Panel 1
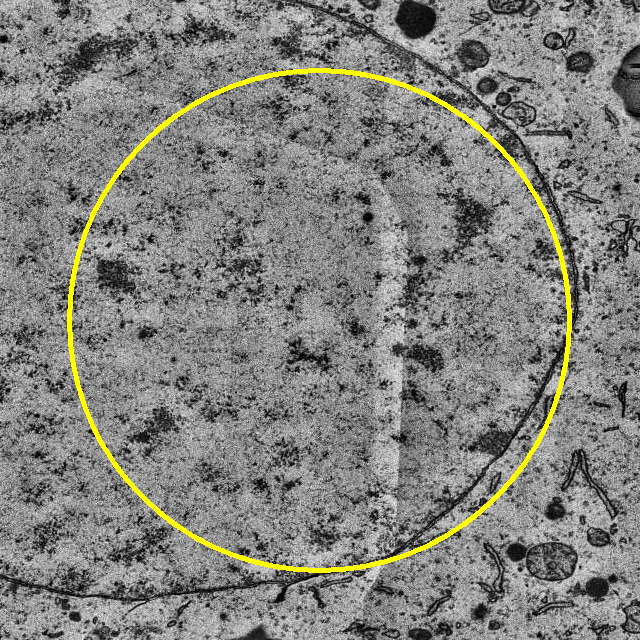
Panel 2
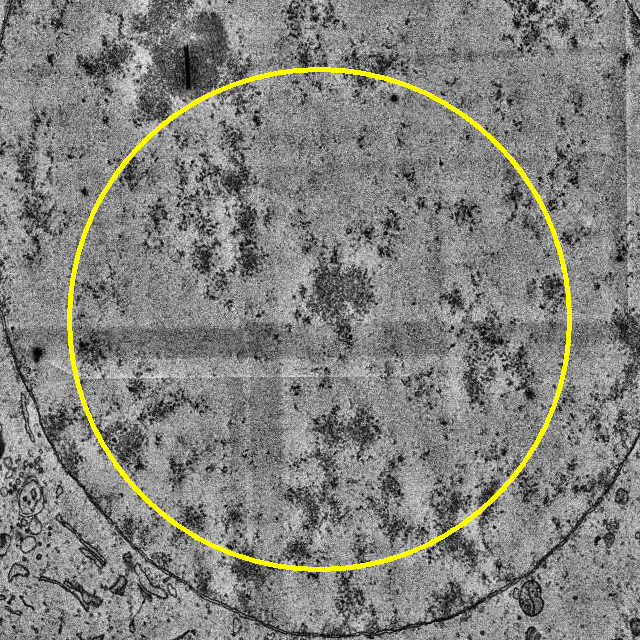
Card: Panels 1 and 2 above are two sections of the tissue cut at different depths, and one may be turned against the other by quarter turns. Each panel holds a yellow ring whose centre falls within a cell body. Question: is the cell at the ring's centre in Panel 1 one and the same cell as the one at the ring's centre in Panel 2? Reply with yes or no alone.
no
